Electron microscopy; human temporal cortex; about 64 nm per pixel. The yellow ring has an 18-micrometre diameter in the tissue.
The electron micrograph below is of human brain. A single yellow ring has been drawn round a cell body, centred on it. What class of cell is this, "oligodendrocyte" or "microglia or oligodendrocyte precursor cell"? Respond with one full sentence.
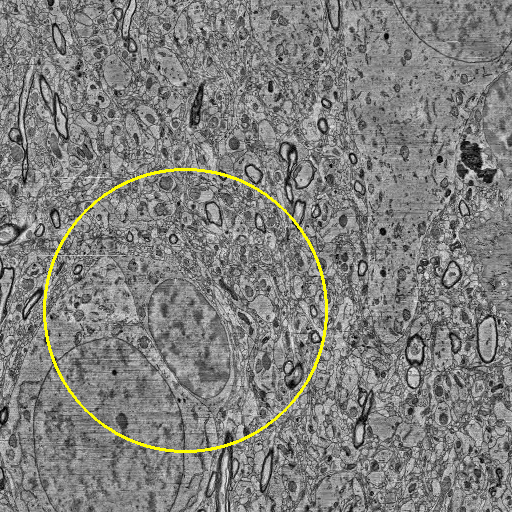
In the micrograph, the cell centred inside the yellow ring is an oligodendrocyte.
